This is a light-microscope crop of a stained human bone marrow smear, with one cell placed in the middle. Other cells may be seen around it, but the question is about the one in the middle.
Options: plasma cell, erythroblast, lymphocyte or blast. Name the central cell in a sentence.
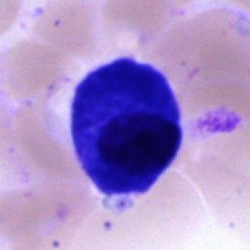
The cell in the middle of this crop is a plasma cell.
